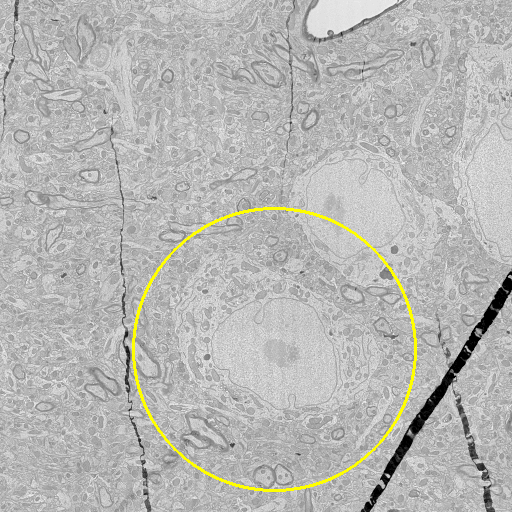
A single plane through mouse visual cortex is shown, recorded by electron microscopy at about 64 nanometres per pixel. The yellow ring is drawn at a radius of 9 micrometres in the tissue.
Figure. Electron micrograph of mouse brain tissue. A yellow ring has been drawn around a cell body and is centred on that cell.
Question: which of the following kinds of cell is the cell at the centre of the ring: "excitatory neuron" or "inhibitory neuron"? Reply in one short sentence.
The cell at the centre of the ring is an inhibitory neuron.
